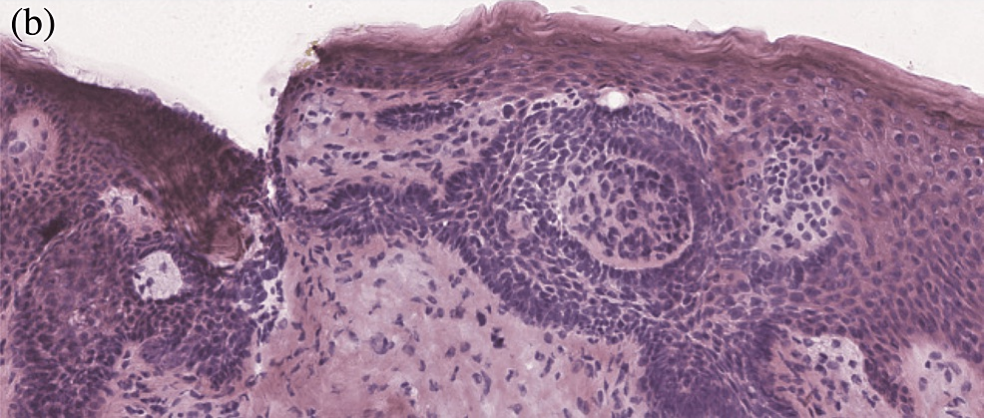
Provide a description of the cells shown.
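Skin with aggregates of atypical basaloid cells that bud from the undersurface of the epidermis into the upper dermis. The cells have dark purple, hyperchromatic nuclei and scant cytoplasm.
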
